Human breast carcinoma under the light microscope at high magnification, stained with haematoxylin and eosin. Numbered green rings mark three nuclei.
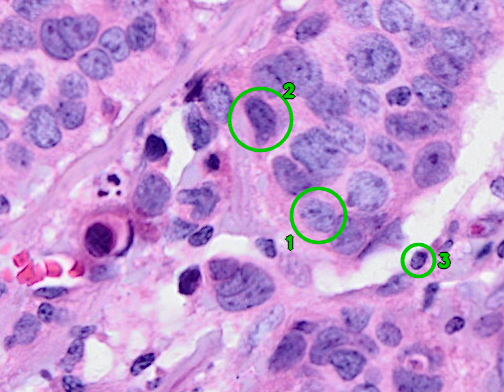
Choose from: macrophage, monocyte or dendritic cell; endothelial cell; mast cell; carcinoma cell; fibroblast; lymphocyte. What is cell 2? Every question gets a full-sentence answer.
The cell indicated with the number 2 is classed as a carcinoma cell.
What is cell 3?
The cell indicated with the number 3 is classed as a lymphocyte.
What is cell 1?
Number 1 among the marked cells is a carcinoma cell.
